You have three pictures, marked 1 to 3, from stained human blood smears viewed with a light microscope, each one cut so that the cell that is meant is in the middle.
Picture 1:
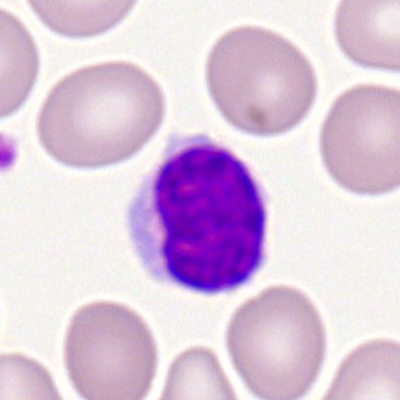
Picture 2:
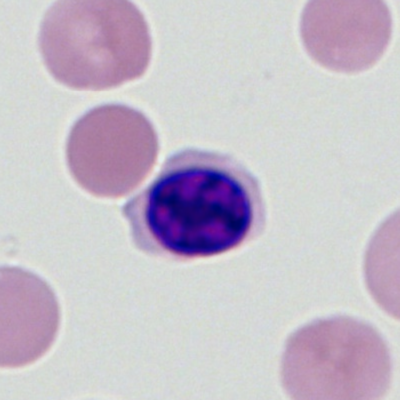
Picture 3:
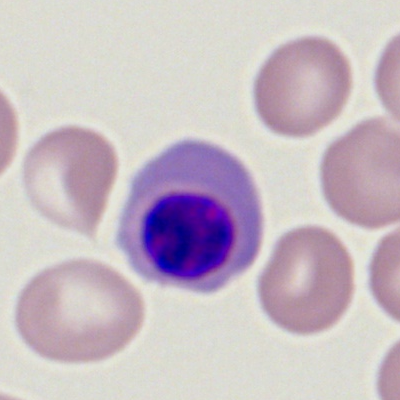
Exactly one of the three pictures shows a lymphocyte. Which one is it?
1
